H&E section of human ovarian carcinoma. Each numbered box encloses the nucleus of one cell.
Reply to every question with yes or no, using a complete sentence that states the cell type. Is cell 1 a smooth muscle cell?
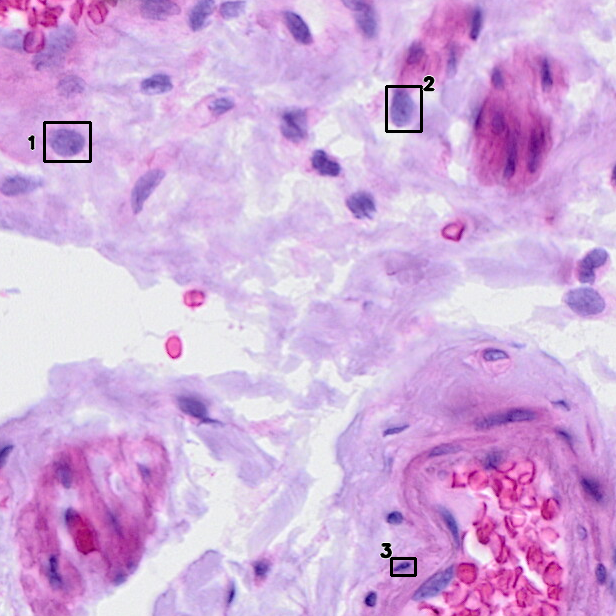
No, cell 1 is not a smooth muscle cell. It is a fibroblast.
